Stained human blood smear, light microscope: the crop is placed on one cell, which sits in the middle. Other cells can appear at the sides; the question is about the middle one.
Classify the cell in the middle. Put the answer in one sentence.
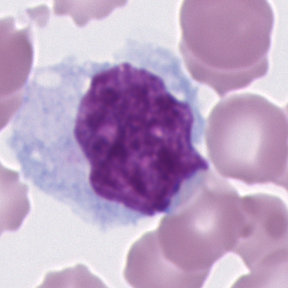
Of the cells in this crop, the central one is a hairy cell.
